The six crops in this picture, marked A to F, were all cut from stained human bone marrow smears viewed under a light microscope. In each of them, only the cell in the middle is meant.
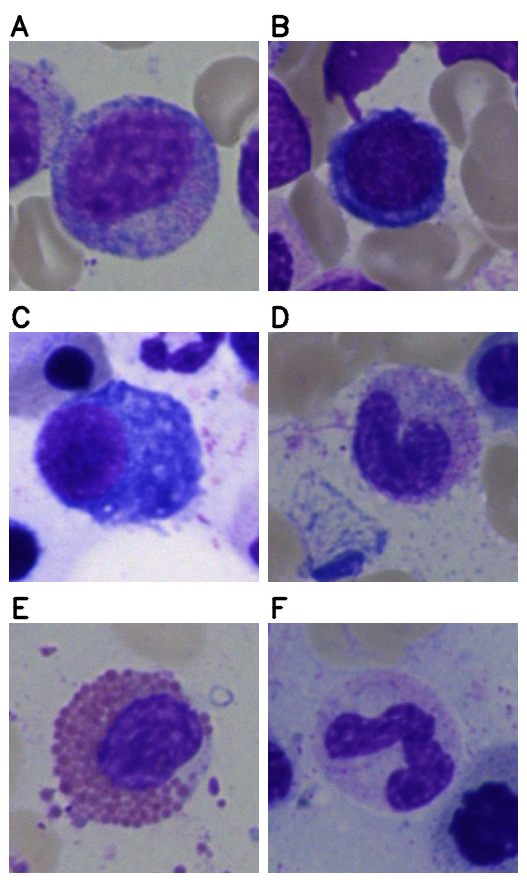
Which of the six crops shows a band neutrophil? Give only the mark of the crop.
D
